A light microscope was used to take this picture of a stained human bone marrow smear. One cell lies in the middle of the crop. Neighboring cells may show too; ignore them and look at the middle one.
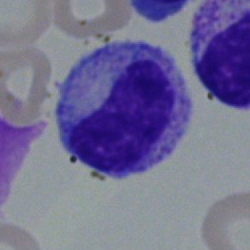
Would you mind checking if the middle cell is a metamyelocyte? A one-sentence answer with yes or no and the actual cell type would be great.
Yes, the central cell is to be recorded as a metamyelocyte.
